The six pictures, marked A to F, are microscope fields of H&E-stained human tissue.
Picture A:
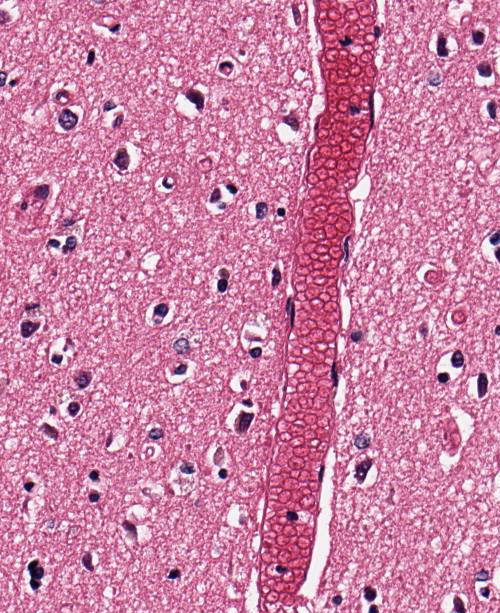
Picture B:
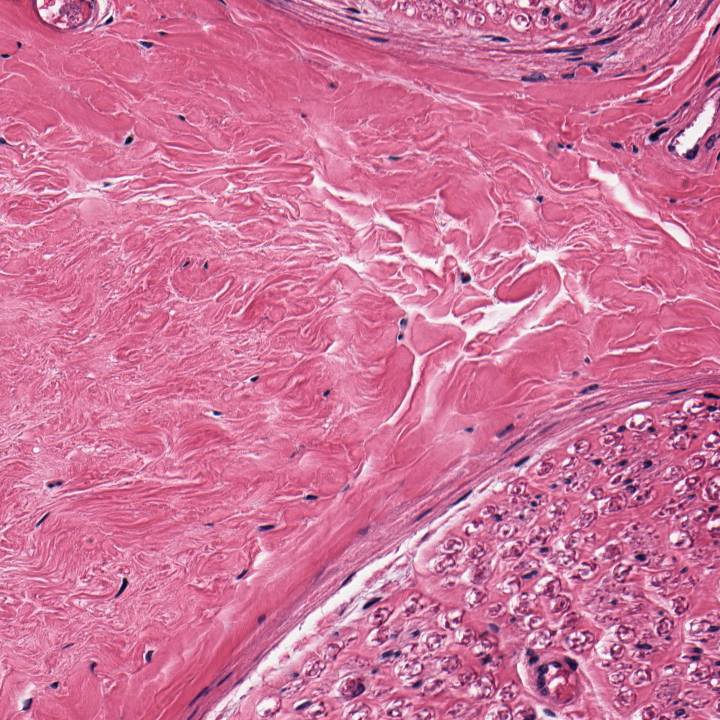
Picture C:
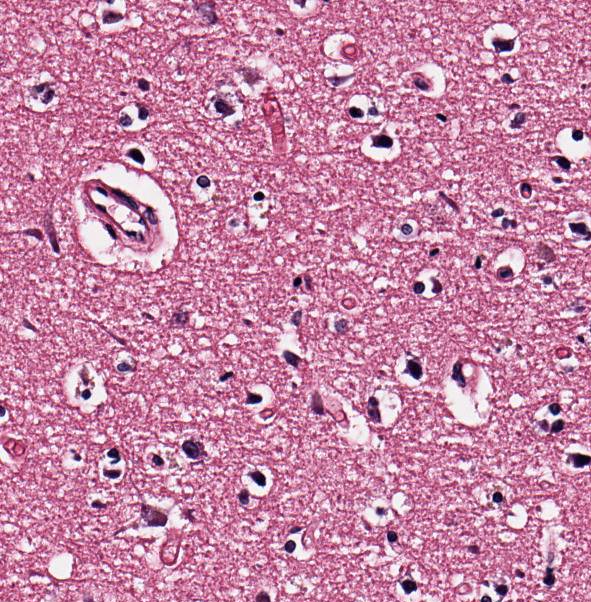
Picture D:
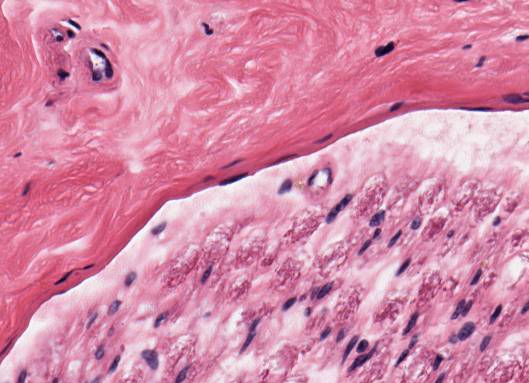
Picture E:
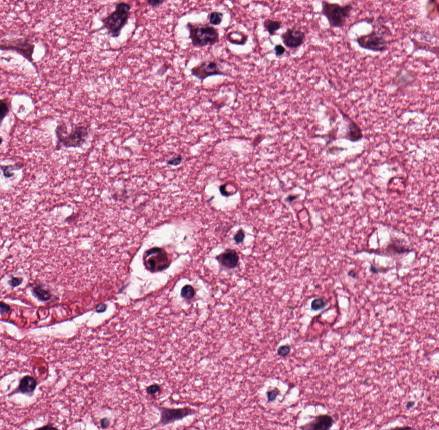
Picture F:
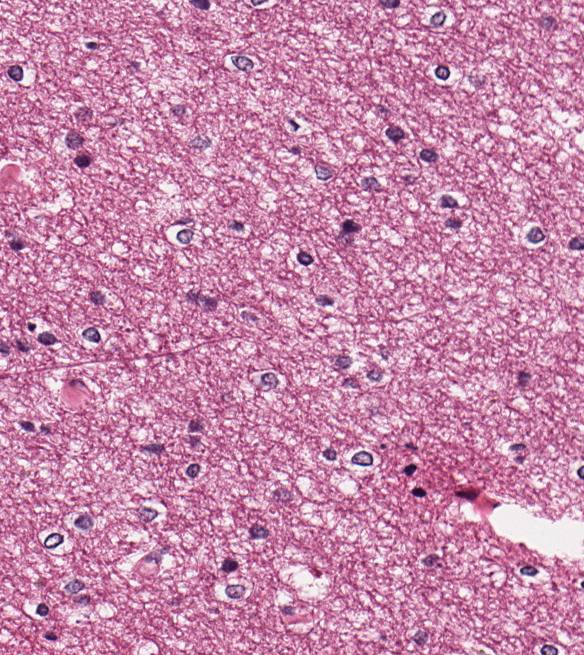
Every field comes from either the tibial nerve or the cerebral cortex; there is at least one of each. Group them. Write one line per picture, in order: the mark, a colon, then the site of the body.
A: cerebral cortex
B: tibial nerve
C: cerebral cortex
D: tibial nerve
E: cerebral cortex
F: cerebral cortex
